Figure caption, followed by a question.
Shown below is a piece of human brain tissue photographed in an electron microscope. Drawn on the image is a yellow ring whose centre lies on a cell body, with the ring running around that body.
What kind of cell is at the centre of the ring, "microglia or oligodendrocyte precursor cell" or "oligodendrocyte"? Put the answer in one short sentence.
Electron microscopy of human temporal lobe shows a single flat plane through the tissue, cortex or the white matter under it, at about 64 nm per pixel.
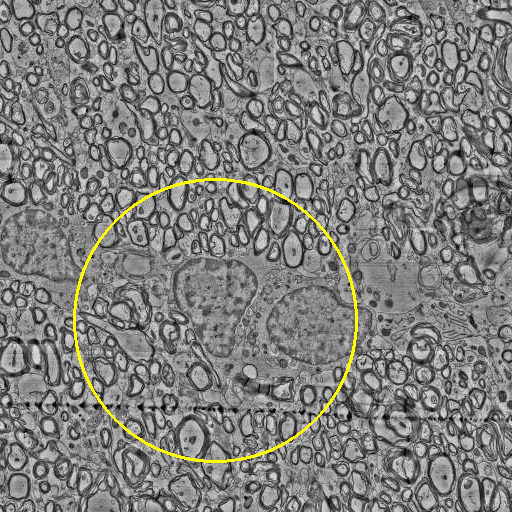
The ring marks the cell body of an oligodendrocyte.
